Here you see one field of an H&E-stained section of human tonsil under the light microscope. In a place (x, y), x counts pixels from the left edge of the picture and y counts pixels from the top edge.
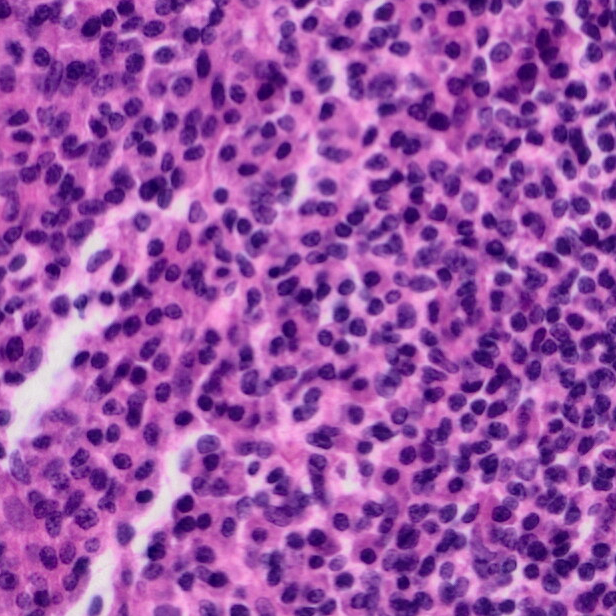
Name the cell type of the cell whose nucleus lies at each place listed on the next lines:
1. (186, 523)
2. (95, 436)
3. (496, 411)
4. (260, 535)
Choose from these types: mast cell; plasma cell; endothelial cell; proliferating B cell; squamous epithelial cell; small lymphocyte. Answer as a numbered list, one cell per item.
1. plasma cell
2. plasma cell
3. small lymphocyte
4. plasma cell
